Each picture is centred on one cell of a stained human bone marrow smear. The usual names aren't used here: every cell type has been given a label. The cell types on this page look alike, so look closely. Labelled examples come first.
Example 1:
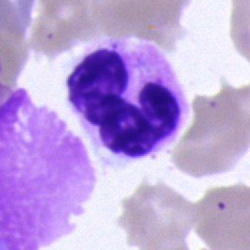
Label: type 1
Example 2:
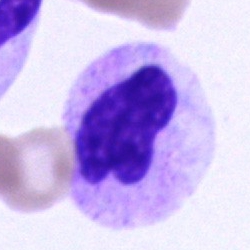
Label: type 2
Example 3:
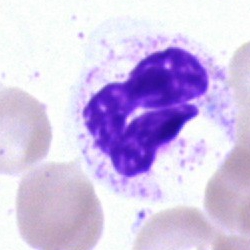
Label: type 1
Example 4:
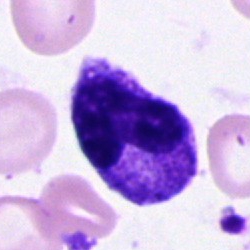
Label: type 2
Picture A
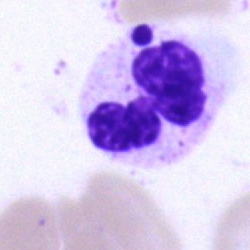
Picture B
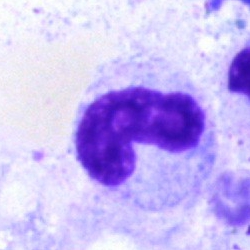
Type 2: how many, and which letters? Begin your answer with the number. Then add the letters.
1, namely B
